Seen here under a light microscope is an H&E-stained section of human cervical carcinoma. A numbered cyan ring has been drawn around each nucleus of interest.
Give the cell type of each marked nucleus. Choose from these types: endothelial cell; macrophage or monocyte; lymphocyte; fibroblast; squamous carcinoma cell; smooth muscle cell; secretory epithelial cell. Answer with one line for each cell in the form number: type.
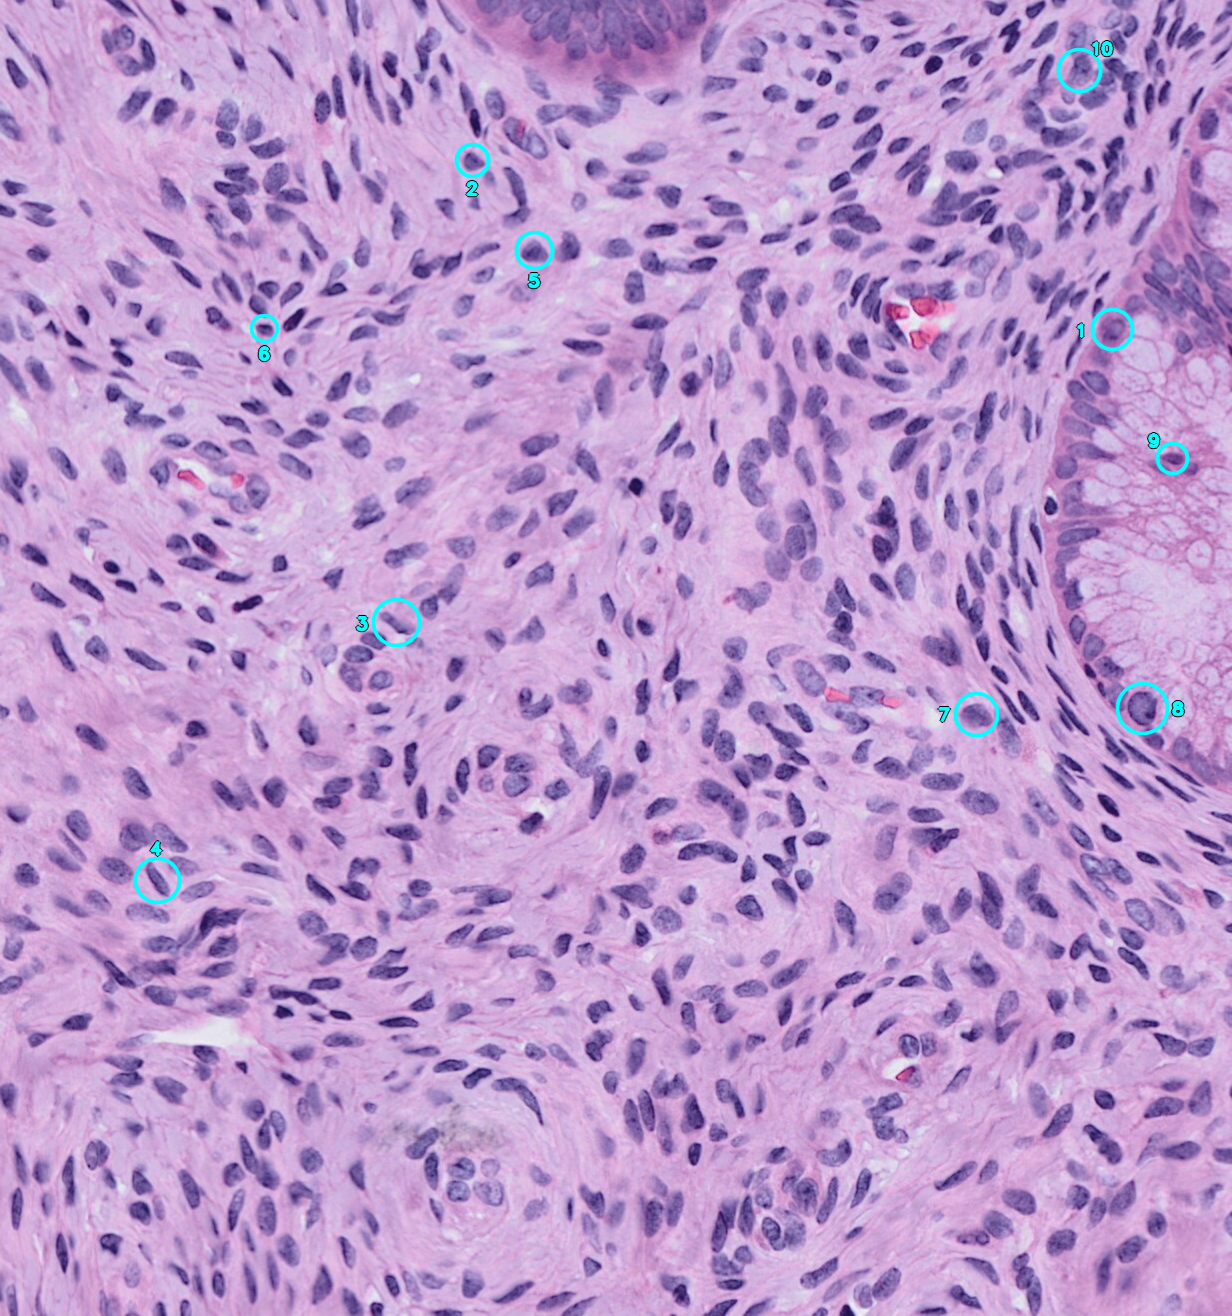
1: secretory epithelial cell
2: fibroblast
3: fibroblast
4: fibroblast
5: fibroblast
6: fibroblast
7: fibroblast
8: secretory epithelial cell
9: secretory epithelial cell
10: endothelial cell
